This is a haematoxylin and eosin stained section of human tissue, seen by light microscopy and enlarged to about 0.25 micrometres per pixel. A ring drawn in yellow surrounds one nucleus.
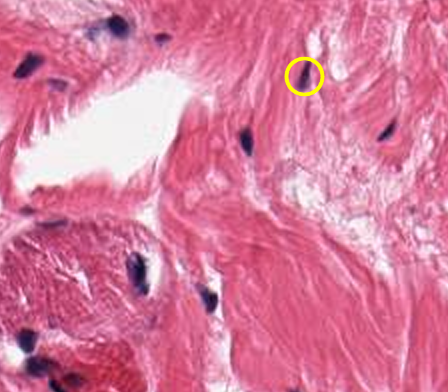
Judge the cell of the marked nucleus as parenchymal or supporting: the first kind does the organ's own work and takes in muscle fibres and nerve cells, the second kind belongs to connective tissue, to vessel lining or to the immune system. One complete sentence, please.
As for the marked nucleus, it belongs to a supporting cell.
